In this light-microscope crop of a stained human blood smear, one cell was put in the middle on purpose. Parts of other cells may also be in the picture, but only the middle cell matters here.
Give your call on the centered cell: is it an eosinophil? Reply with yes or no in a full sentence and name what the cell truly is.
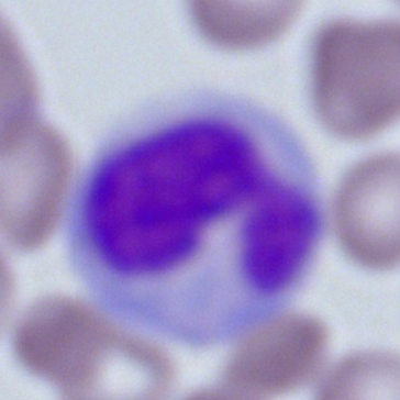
No, the central cell is classed as a monocyte and not as an eosinophil.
